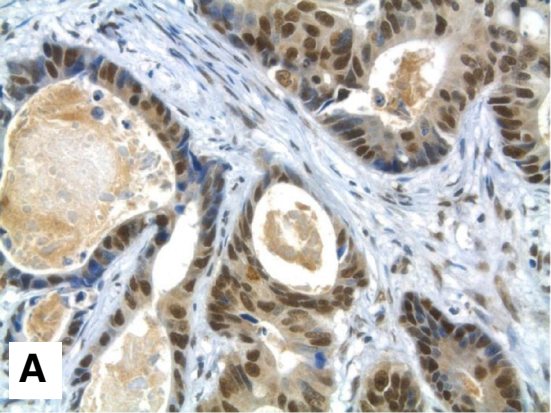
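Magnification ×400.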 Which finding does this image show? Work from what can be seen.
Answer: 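Intestinal type. Tumour cells form glands lined by columnar cells around central lumina. Glands are separated by fibrous stroma with spindle cells.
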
